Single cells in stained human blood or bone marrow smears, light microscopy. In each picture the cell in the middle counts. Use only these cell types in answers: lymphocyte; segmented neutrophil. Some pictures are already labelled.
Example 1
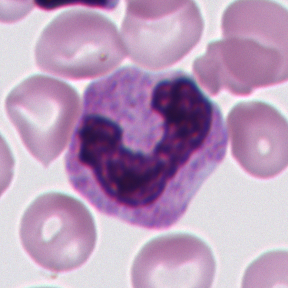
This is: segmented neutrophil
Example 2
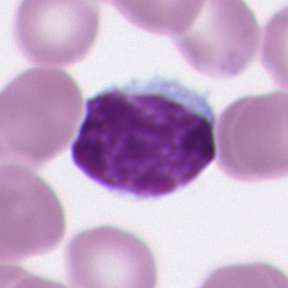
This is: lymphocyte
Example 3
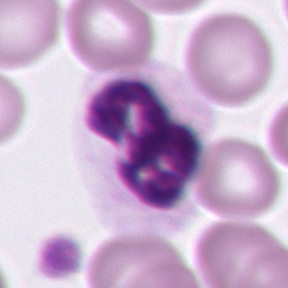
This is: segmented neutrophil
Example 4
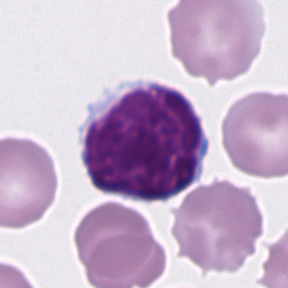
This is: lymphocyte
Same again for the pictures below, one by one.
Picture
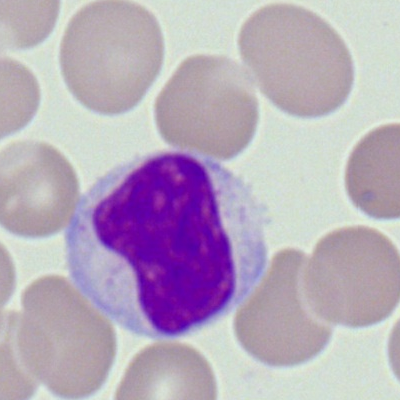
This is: lymphocyte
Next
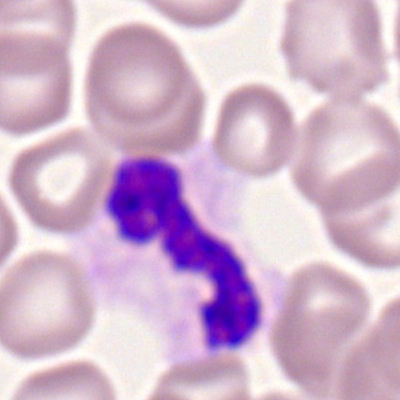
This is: segmented neutrophil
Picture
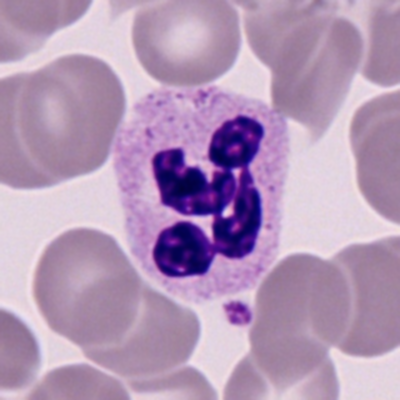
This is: segmented neutrophil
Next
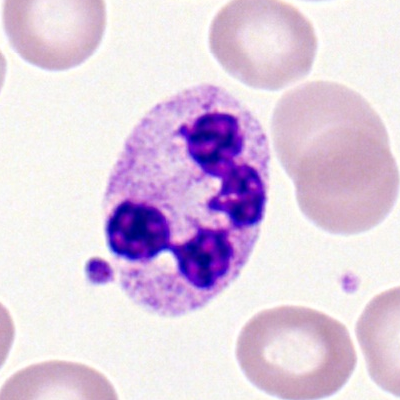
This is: segmented neutrophil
